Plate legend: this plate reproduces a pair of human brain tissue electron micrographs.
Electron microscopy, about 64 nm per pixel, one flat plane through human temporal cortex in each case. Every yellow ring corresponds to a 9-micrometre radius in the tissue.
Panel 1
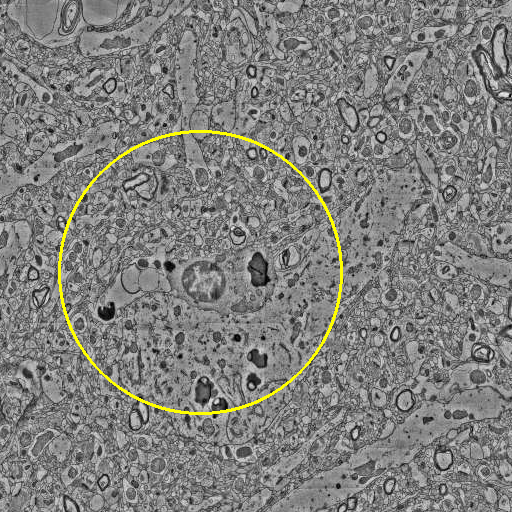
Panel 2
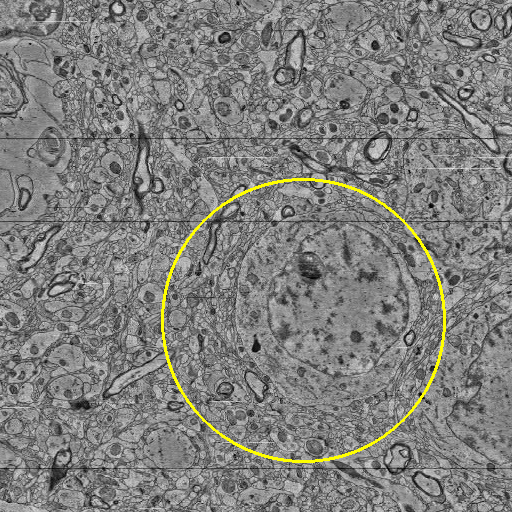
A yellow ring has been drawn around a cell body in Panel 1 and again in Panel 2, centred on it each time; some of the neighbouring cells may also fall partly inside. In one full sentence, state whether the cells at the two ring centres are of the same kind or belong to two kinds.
The ring-centred cells of Panel 1 and Panel 2 belong to two kinds.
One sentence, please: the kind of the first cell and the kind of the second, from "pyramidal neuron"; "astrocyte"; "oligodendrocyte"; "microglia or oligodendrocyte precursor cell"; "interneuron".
The ring in the first picture surrounds an oligodendrocyte, and the ring in the second surrounds an interneuron.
